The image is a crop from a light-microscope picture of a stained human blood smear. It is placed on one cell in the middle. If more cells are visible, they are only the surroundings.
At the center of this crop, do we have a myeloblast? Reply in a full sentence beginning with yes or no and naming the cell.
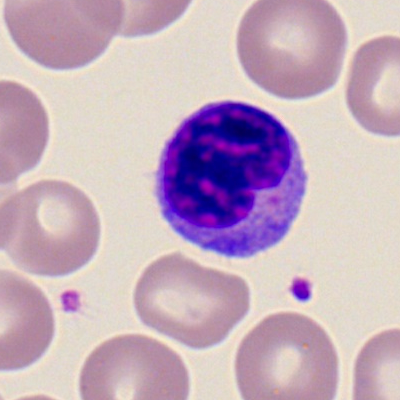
No, the centre cell counts as a lymphocyte, not as a myeloblast.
